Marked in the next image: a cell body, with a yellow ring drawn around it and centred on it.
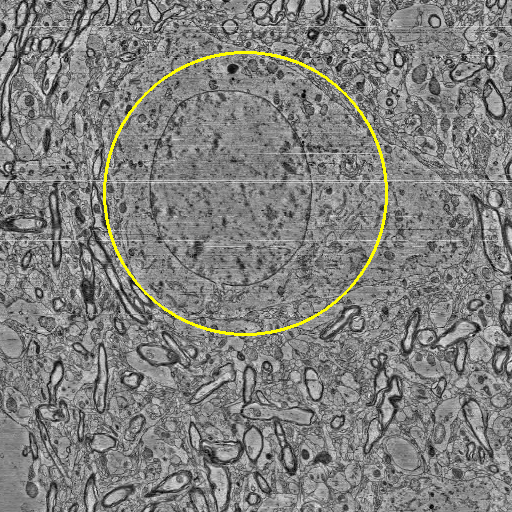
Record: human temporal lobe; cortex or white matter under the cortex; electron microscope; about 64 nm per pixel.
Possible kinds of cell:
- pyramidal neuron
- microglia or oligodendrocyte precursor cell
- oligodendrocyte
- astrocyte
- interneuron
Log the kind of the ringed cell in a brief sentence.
The ringed cell body is that of a pyramidal neuron.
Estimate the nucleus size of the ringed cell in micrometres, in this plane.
In this plane, the nucleus is roughly 13 by 10 micrometres.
